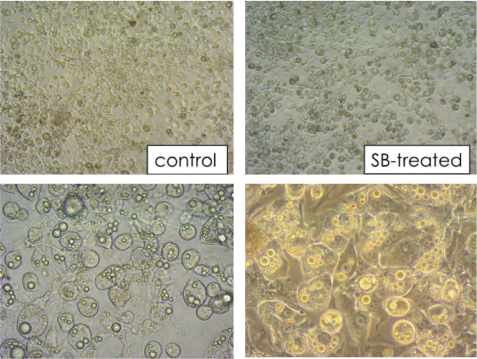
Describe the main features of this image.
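Unstained cultured mature adipocytes are shown at low and high magnification. At low magnification, a dense monolayer of rounded cells covers the dish. At high magnification, many cells are rounded and packed with refractile lipid droplets of varying size, some large enough to fill much of the cell body, while flatter spindle-shaped cells without droplets lie between them.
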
